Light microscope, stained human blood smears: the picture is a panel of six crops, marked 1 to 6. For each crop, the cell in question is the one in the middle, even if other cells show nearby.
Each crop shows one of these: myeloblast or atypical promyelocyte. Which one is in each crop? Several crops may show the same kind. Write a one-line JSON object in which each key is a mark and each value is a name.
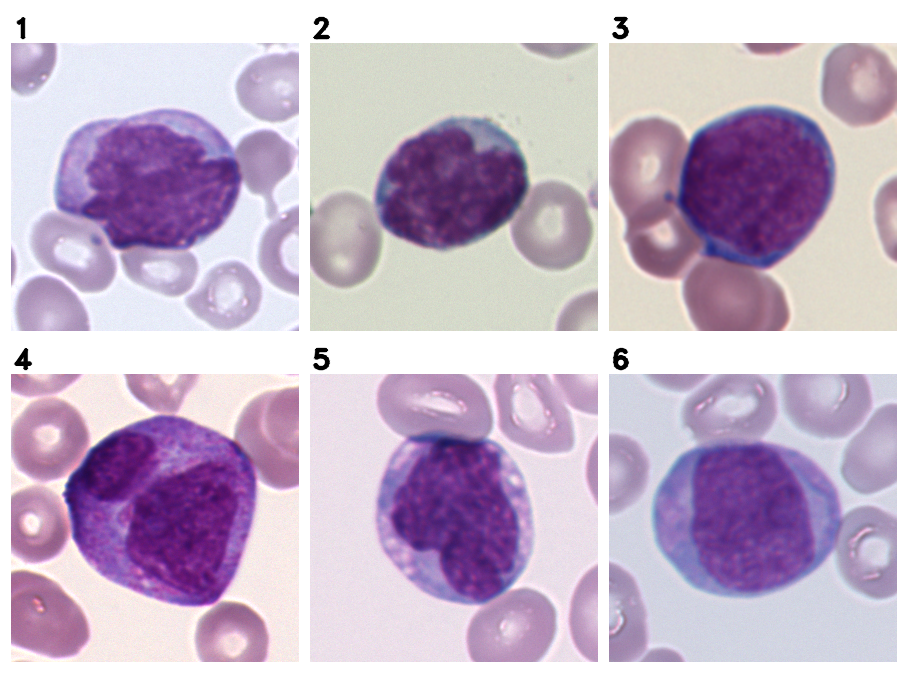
{"1": "atypical promyelocyte", "2": "myeloblast", "3": "myeloblast", "4": "atypical promyelocyte", "5": "atypical promyelocyte", "6": "atypical promyelocyte"}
